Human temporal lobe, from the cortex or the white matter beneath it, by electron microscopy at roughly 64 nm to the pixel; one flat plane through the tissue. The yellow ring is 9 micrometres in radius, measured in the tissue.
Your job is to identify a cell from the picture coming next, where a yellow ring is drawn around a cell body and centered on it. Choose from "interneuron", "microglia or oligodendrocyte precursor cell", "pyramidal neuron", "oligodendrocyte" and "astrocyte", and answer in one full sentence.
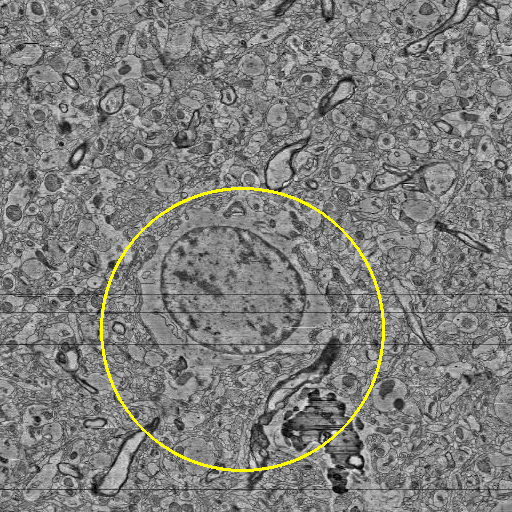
Centered in the yellow ring of the picture is the body of an astrocyte.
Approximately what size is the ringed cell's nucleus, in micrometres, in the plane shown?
About 10 by 8 micrometers, in this plane.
